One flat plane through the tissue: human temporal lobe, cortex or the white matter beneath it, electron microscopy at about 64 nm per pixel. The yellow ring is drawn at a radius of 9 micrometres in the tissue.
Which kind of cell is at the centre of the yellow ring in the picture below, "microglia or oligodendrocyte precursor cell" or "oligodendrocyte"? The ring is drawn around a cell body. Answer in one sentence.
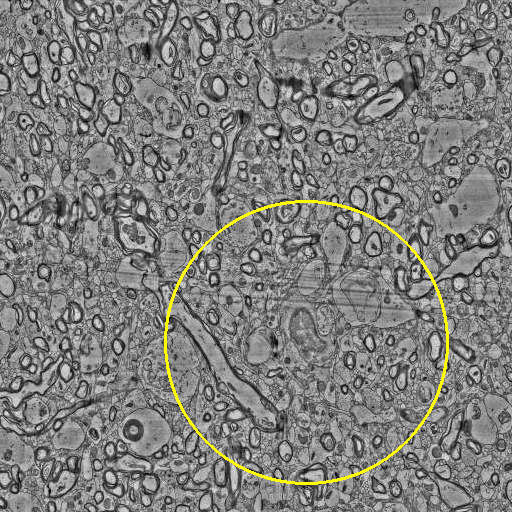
The ring's central cell is an oligodendrocyte.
